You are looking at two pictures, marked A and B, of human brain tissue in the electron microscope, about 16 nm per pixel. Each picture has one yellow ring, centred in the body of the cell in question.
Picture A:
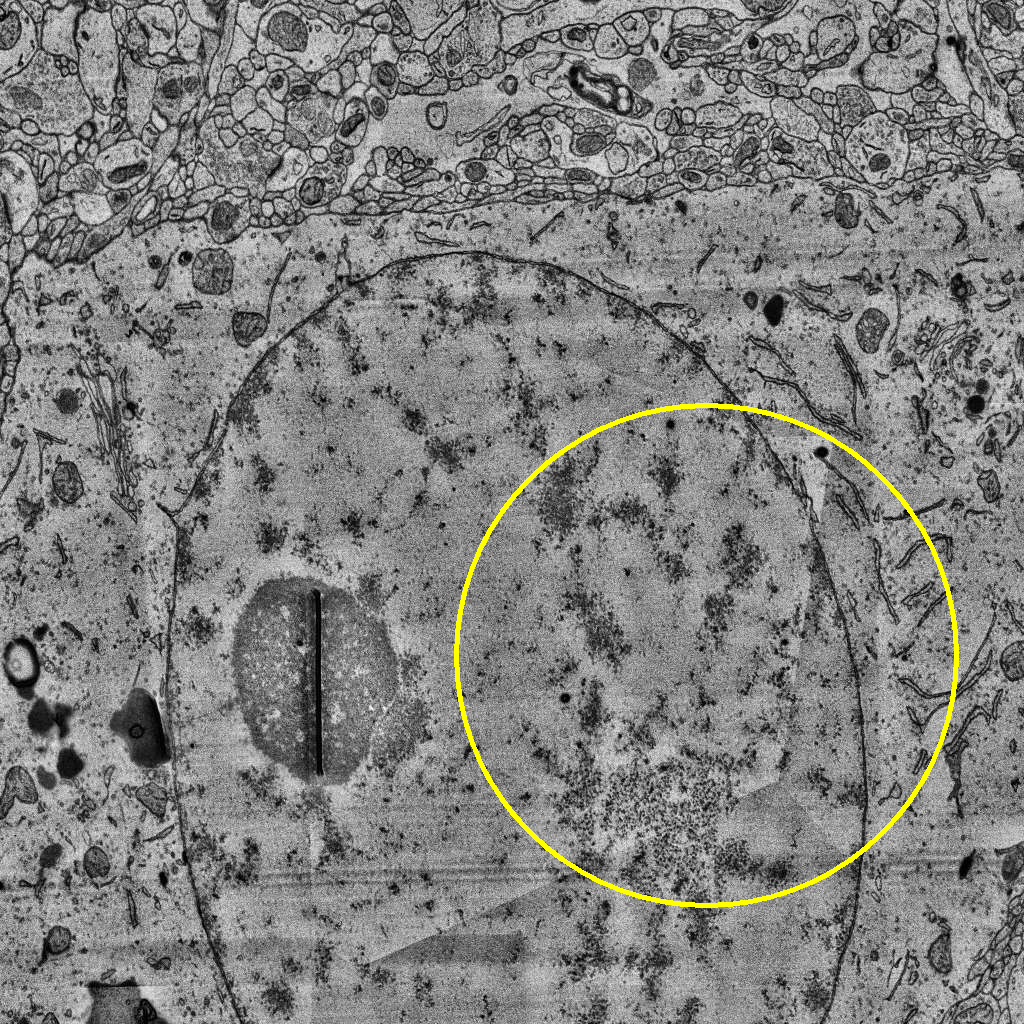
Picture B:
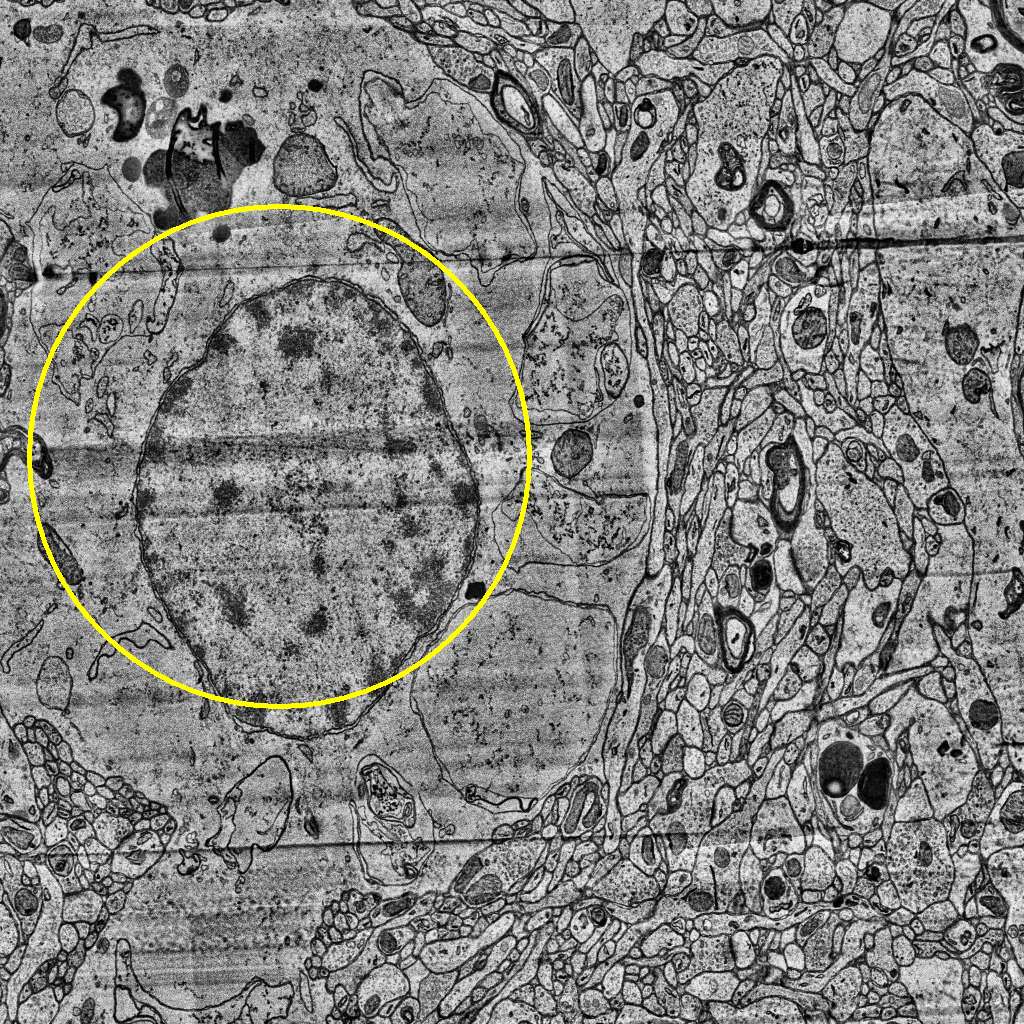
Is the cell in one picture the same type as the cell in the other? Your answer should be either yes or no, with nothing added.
no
